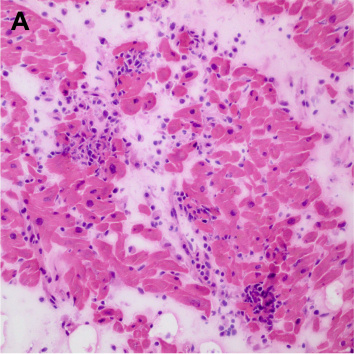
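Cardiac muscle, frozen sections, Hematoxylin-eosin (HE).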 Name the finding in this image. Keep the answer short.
Lymphocyte infiltration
